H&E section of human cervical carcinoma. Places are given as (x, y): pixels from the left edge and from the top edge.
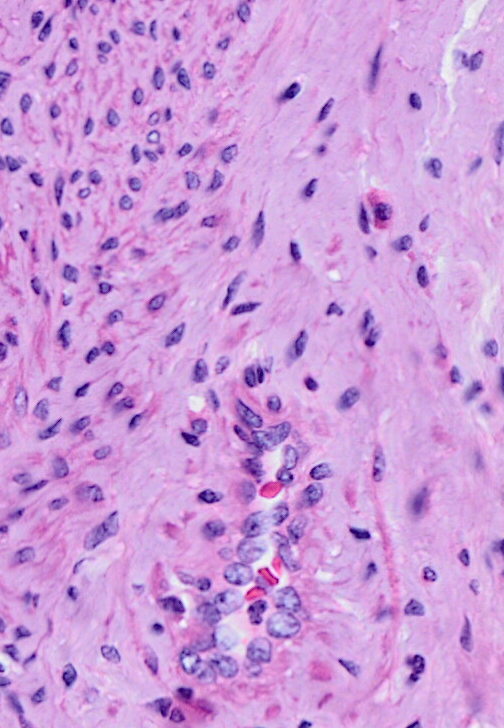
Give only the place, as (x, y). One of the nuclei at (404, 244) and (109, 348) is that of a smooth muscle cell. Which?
(109, 348)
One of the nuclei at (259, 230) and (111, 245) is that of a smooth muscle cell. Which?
(111, 245)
